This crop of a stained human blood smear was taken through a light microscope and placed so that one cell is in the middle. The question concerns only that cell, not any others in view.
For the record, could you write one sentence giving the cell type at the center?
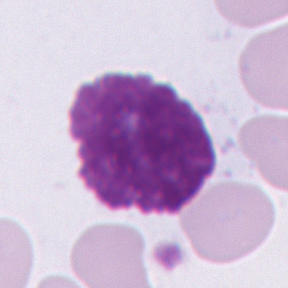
In the crop, the cell of interest at the centre is a smudge cell.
